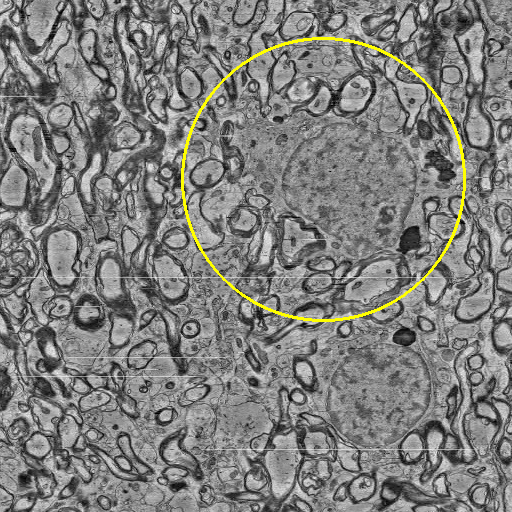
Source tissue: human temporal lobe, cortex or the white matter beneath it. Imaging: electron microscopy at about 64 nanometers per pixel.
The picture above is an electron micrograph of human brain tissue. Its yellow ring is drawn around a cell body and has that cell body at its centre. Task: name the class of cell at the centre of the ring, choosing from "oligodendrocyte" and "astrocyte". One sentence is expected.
The ring surrounds the body of an oligodendrocyte.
